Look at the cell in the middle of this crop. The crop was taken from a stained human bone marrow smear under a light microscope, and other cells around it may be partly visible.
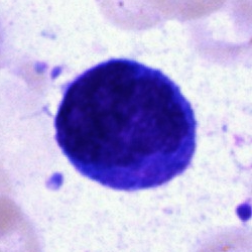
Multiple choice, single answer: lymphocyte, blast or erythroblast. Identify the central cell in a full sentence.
The central cell, amid any neighbouring cells, is a blast.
